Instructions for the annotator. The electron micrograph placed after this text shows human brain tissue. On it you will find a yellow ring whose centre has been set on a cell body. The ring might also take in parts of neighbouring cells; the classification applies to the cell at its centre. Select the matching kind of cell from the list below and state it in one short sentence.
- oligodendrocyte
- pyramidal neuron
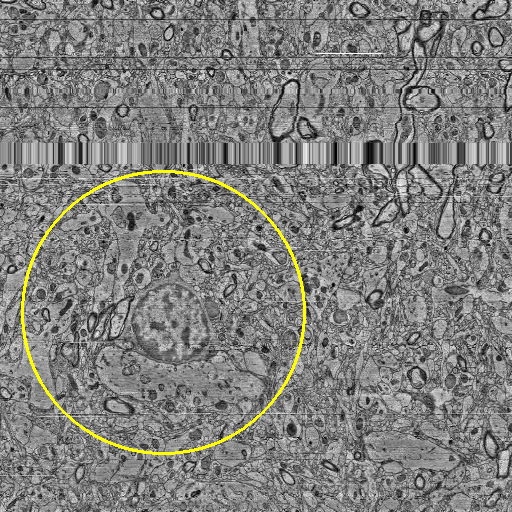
The ring is drawn on the cell body of an oligodendrocyte.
